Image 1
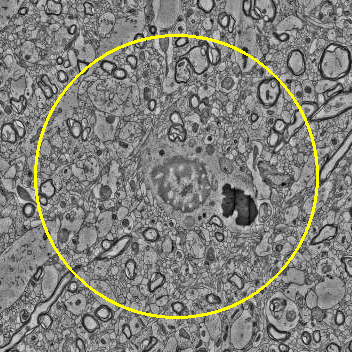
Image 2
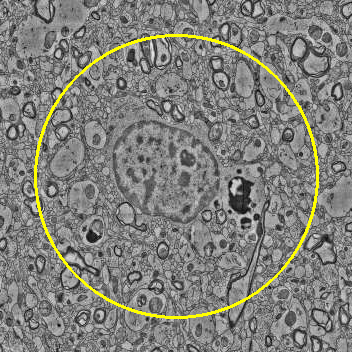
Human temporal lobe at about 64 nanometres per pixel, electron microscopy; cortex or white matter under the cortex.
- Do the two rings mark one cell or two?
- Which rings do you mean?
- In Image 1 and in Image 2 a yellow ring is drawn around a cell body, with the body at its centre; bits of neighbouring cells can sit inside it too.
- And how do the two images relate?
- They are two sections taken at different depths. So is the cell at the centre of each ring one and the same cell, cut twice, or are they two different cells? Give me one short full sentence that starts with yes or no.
Yes, the same cell appears within both yellow rings.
